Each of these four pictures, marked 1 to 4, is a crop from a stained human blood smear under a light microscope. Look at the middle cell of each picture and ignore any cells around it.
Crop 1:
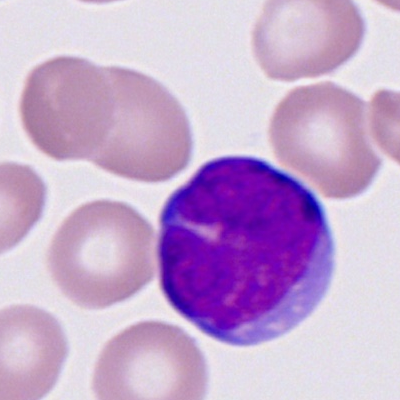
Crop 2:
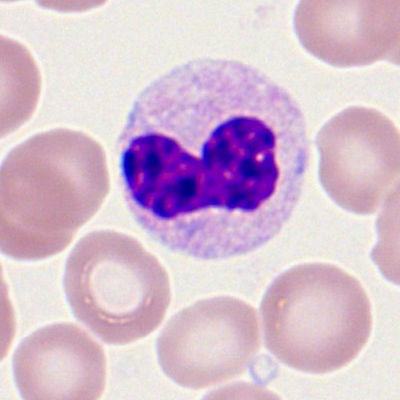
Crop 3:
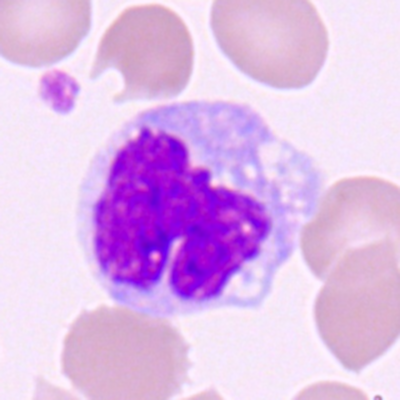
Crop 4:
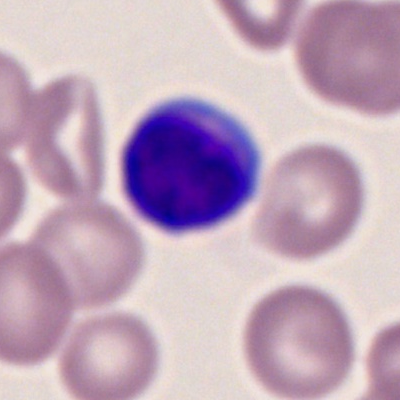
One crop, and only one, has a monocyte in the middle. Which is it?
3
